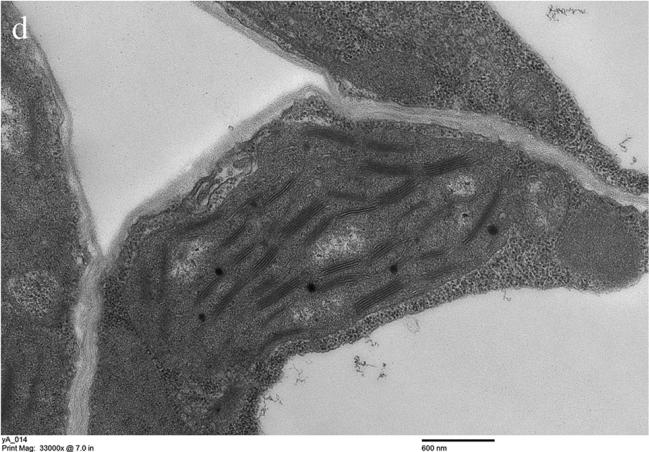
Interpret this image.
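Chloroplast of a mesophyll cell pressed against the cell wall, with short, scattered stacks of grana separated by paler stroma. Small dark round plastoglobuli lie among the membranes. No starch grains are seen. Granular cytoplasm surrounds the chloroplast and empty intercellular spaces lie beyond the wall.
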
